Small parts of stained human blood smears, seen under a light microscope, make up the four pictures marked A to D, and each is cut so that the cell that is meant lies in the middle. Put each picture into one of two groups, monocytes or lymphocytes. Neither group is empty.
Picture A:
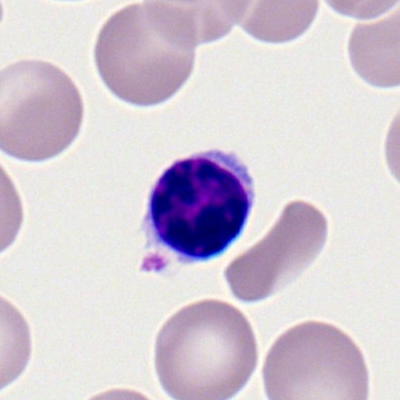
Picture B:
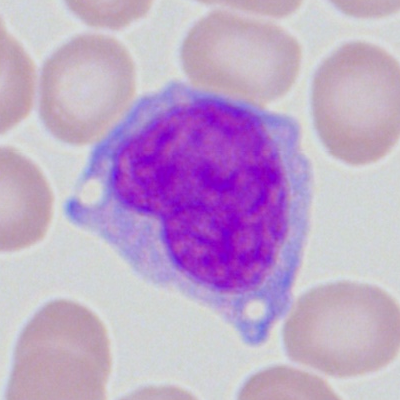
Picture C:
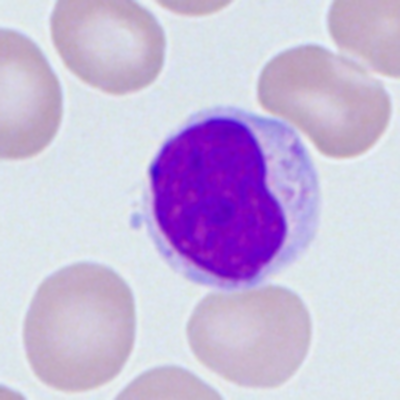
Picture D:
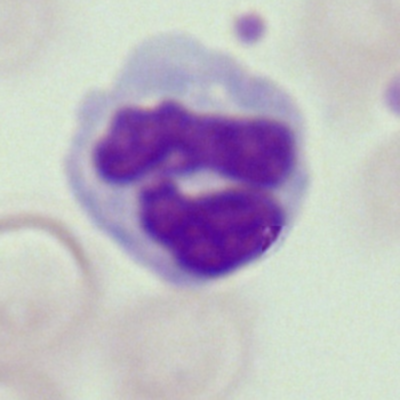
A: lymphocyte
B: monocyte
C: lymphocyte
D: monocyte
